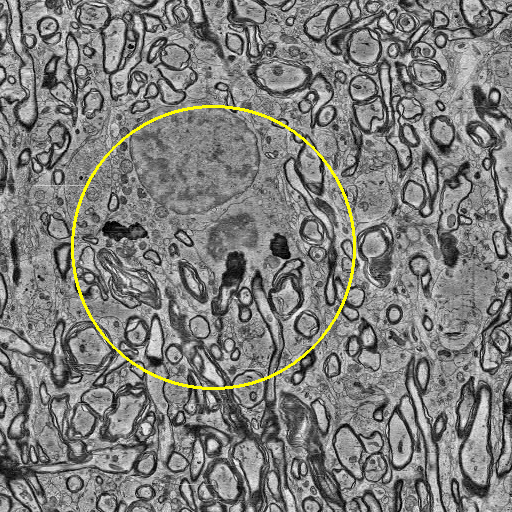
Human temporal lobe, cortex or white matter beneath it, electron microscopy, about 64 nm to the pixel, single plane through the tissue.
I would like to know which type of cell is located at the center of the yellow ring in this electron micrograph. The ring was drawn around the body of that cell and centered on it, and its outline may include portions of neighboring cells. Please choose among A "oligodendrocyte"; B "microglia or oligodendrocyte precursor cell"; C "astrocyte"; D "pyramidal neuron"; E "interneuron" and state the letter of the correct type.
A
